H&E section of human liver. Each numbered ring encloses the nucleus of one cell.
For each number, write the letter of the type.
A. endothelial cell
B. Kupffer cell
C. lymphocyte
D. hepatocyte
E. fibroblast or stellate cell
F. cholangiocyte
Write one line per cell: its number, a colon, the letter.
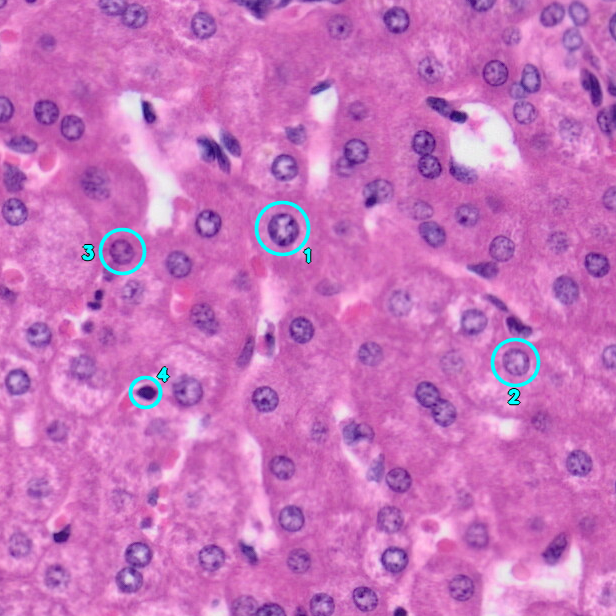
1: D
2: D
3: D
4: C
